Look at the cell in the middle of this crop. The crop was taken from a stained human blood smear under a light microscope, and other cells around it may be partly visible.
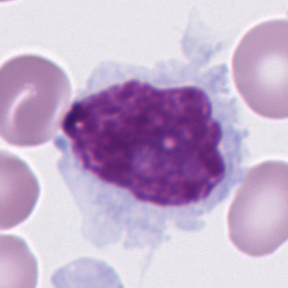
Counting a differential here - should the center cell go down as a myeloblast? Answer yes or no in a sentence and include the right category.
No, the centre cell is not a myeloblast but a hairy cell.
